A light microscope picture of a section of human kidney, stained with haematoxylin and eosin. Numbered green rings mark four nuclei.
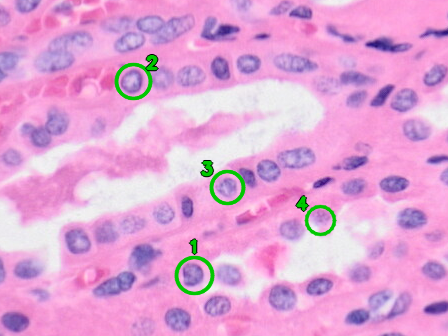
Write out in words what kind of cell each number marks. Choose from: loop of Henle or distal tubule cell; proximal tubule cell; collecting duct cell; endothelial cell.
Cell 1 is a loop of Henle or distal tubule cell, cell 2 is a collecting duct cell, cell 3 is a collecting duct cell and cell 4 is a loop of Henle or distal tubule cell.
